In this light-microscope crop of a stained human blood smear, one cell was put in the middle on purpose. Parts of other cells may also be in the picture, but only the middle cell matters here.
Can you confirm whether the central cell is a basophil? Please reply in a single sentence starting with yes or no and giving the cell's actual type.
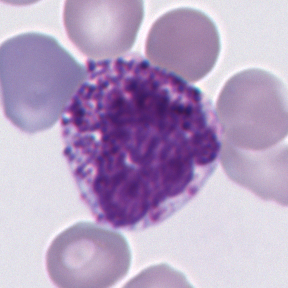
Yes, shown in the middle of the crop is a basophil.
